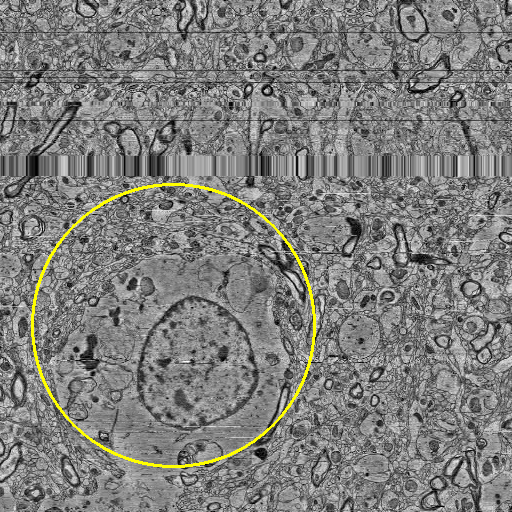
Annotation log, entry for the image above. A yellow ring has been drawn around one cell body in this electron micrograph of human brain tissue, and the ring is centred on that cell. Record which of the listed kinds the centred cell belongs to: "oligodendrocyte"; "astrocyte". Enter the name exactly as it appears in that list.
astrocyte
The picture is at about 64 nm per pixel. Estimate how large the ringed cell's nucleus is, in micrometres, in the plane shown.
About 9 micrometres by about 7 micrometres in this plane.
